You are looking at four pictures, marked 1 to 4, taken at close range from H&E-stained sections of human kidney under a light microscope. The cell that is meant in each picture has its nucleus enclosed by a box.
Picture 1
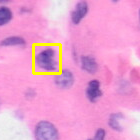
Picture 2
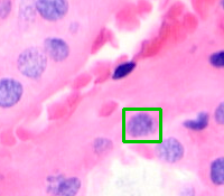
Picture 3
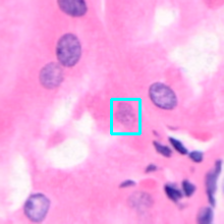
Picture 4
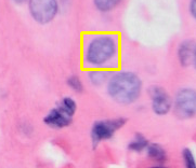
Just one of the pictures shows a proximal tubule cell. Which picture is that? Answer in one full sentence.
The picture with the proximal tubule cell is 3.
